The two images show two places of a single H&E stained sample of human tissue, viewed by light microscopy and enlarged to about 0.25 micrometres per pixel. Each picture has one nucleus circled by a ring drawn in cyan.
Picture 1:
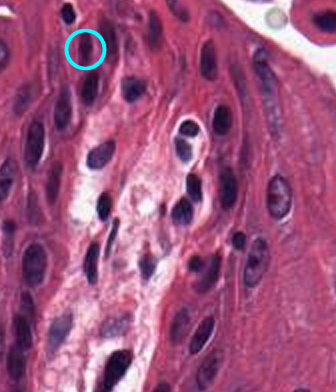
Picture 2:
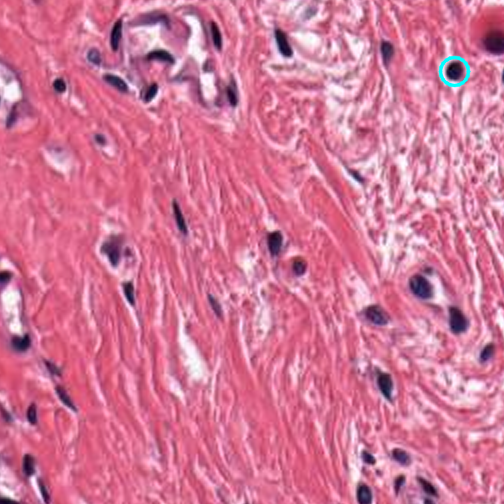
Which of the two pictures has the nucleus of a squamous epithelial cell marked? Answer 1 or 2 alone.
1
